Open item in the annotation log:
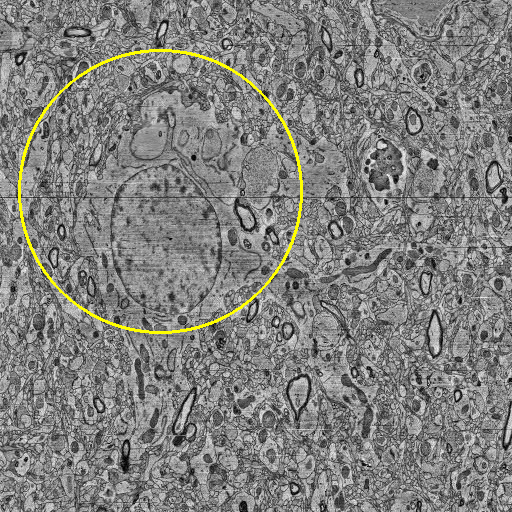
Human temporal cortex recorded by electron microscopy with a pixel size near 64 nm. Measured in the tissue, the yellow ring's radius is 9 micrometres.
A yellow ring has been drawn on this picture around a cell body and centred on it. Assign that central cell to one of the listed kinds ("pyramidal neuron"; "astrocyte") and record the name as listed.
astrocyte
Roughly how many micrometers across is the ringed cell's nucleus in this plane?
The ringed cell's nucleus measures approximately 10 by 7 micrometres in this plane.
